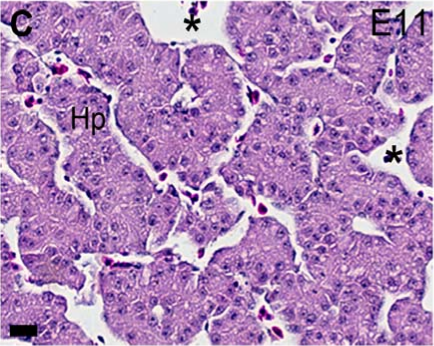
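Large polygonal hepatoblasts are arranged in thick, branching cords, each cell with a round, centrally placed nucleus, a visible nucleolus and pink-violet granular cytoplasm. Between the cords run narrow, irregular clear channels lined by thin, flattened cells with elongated dark nuclei. A few small, darkly stained cells with reddish cytoplasm lie within these channels, consistent with blood cells. The channels between the cords are sinusoidal capillaries, and the cords themselves form the developing liver parenchyma. No clusters of blood-forming cells are seen among the cords.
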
